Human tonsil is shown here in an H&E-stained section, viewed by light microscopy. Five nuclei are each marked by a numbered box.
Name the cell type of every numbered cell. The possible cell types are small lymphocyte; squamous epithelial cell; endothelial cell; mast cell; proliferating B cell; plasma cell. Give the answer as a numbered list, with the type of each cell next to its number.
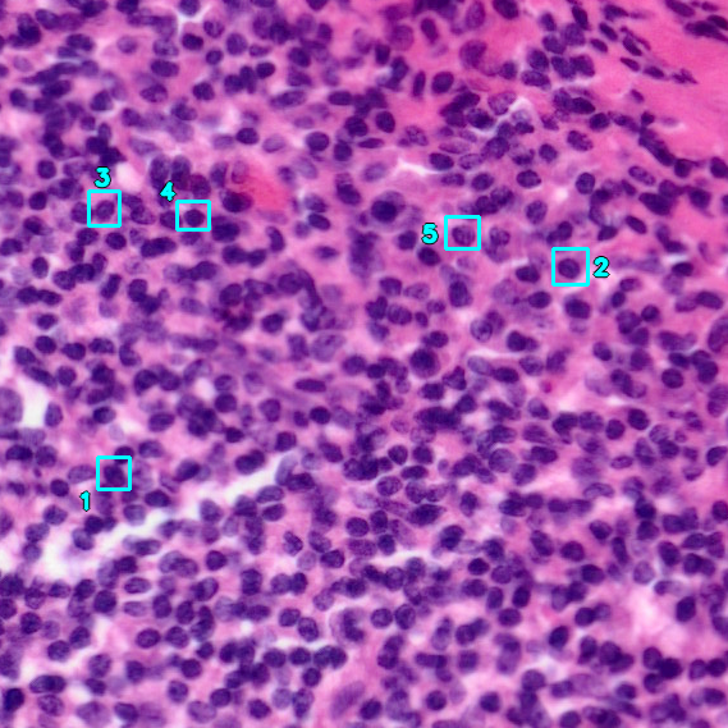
1. small lymphocyte
2. plasma cell
3. small lymphocyte
4. small lymphocyte
5. plasma cell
